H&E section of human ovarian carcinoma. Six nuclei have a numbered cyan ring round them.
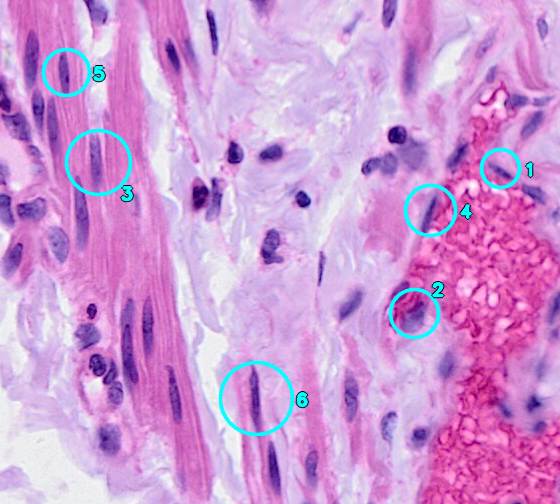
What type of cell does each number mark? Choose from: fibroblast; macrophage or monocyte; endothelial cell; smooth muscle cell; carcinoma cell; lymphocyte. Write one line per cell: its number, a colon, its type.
1: endothelial cell
2: endothelial cell
3: smooth muscle cell
4: endothelial cell
5: smooth muscle cell
6: smooth muscle cell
